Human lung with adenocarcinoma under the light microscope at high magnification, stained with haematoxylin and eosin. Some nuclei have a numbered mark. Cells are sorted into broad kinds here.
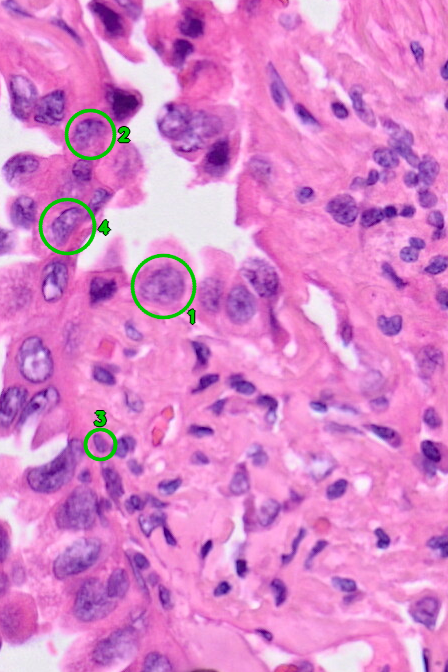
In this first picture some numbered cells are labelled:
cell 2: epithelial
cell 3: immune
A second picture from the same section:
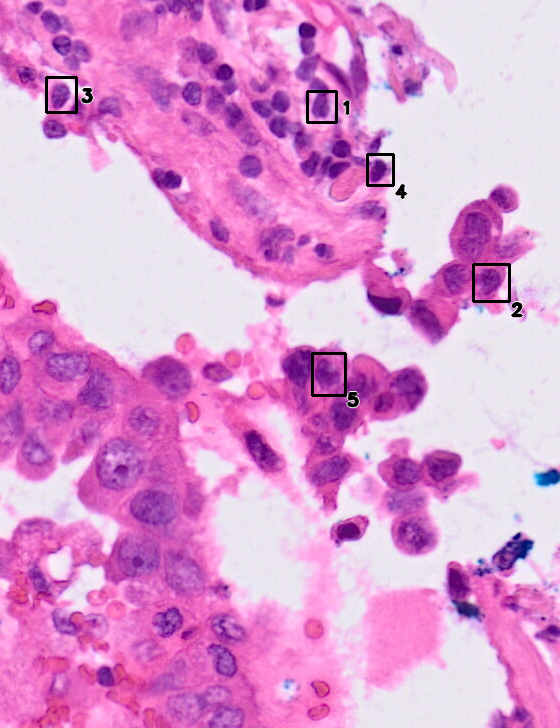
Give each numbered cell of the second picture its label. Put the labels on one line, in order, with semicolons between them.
immune; epithelial; immune; immune; epithelial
